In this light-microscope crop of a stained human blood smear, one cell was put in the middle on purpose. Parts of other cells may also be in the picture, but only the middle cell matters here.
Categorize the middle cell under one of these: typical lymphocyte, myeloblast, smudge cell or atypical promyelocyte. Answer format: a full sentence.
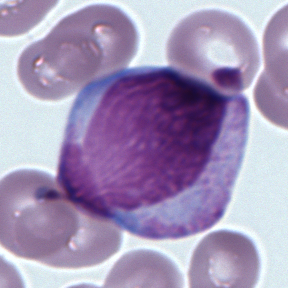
In the centre of this crop there is an atypical promyelocyte.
